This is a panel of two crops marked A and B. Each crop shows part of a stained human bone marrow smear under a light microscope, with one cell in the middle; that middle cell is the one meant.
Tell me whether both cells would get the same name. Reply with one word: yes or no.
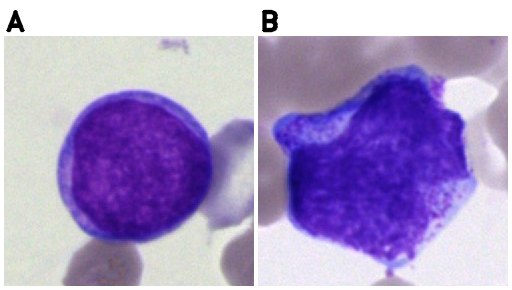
no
